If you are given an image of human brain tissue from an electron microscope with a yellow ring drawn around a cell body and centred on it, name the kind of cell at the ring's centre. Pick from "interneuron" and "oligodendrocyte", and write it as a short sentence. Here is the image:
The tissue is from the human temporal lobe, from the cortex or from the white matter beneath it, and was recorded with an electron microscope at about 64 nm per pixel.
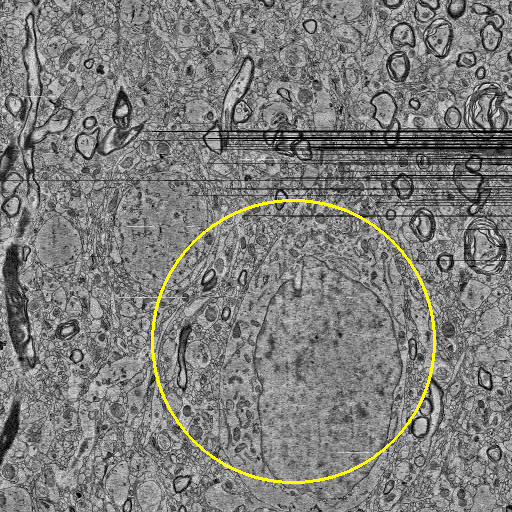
The cell at the ring's centre is an interneuron.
